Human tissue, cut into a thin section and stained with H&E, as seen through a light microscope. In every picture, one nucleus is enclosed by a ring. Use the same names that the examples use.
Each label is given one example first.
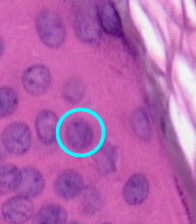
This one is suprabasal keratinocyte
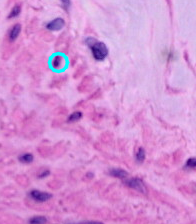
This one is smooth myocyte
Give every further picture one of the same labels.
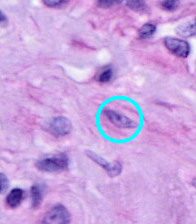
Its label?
smooth myocyte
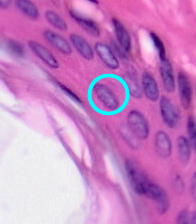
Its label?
suprabasal keratinocyte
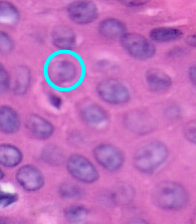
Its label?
suprabasal keratinocyte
